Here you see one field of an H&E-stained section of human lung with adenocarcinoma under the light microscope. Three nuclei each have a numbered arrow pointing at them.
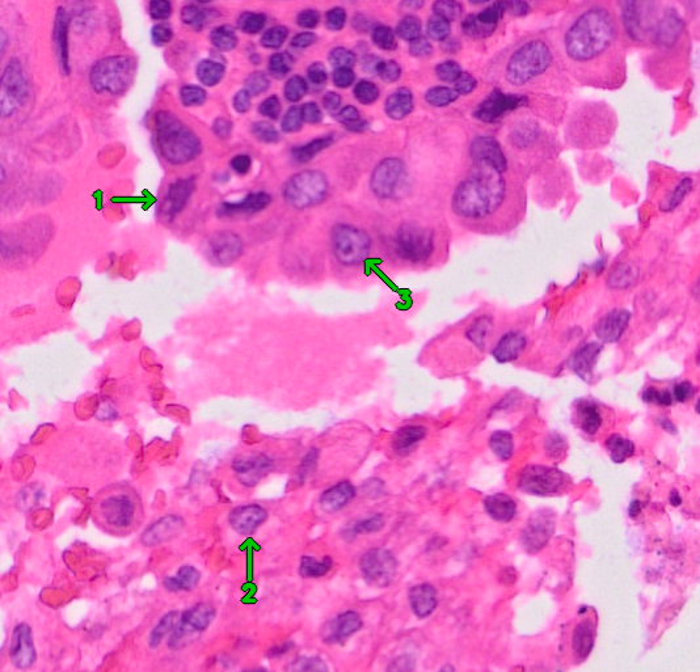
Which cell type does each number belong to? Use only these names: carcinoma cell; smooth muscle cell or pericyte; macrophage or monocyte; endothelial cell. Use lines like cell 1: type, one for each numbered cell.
cell 1: carcinoma cell
cell 2: macrophage or monocyte
cell 3: carcinoma cell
